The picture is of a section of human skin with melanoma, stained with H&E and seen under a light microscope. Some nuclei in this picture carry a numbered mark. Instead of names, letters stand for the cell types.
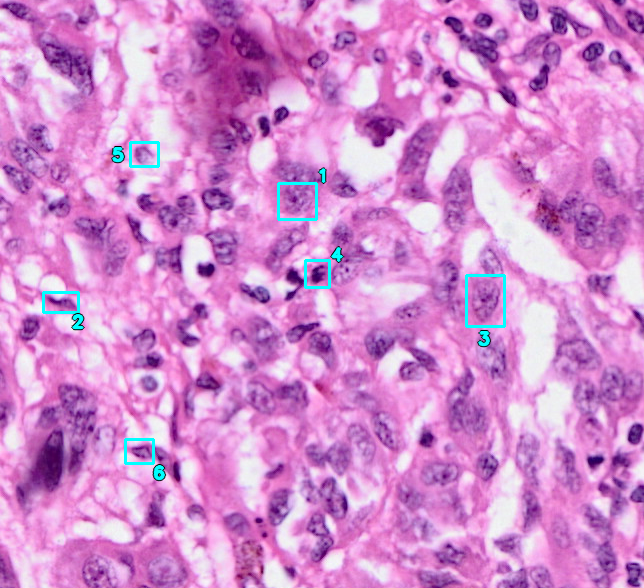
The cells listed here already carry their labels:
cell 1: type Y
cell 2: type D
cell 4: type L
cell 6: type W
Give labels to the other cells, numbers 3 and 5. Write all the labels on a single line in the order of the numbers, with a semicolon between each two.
type Y; type W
